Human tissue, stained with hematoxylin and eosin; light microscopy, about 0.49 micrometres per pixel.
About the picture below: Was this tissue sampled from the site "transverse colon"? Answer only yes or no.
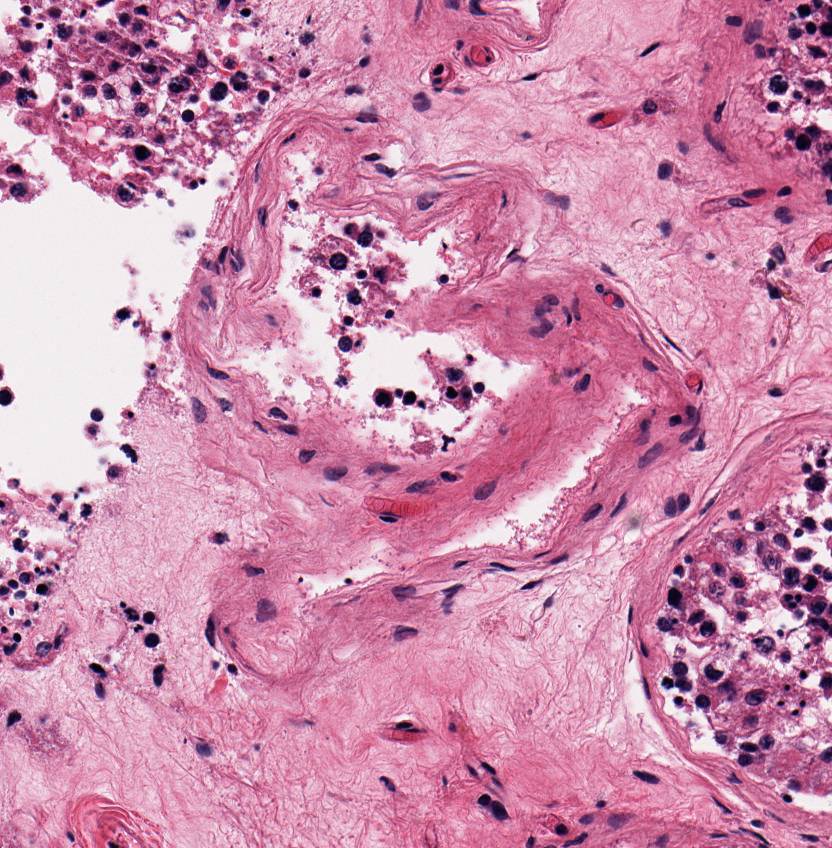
no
